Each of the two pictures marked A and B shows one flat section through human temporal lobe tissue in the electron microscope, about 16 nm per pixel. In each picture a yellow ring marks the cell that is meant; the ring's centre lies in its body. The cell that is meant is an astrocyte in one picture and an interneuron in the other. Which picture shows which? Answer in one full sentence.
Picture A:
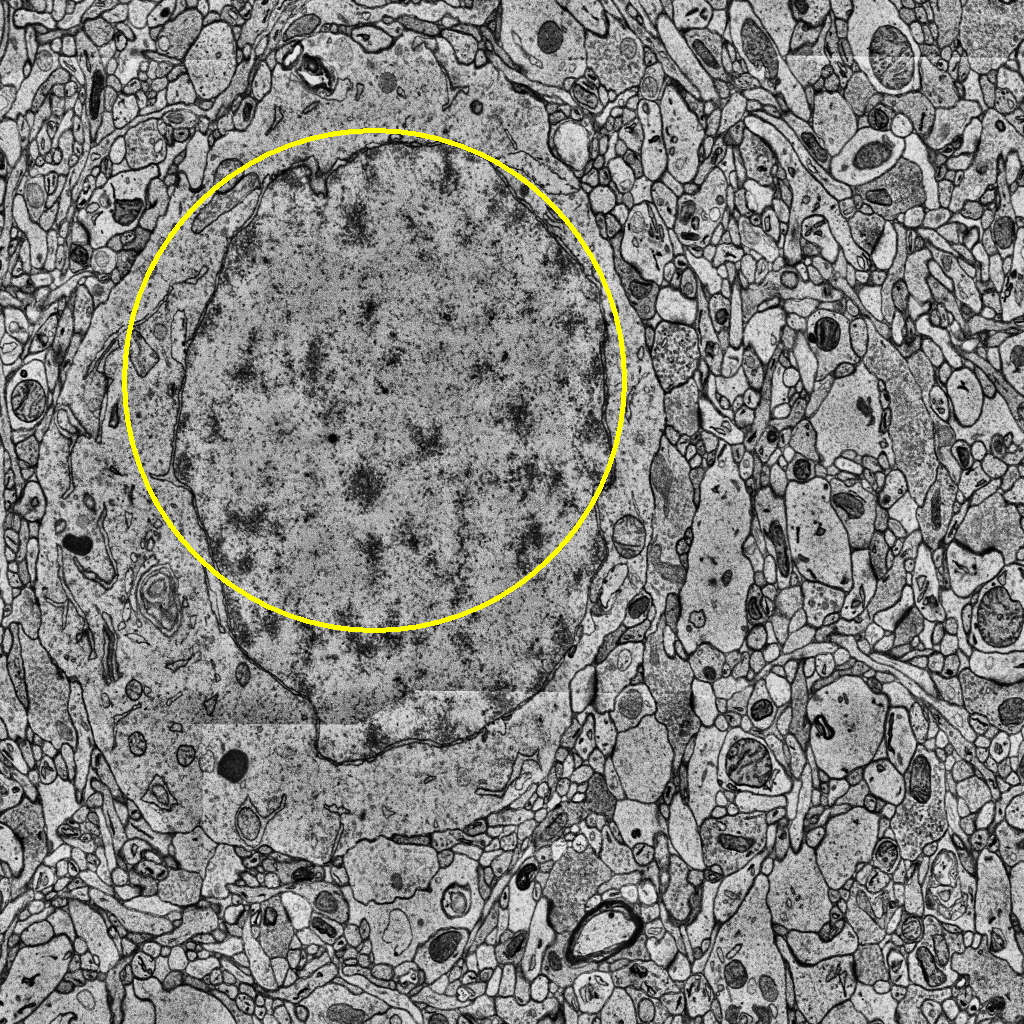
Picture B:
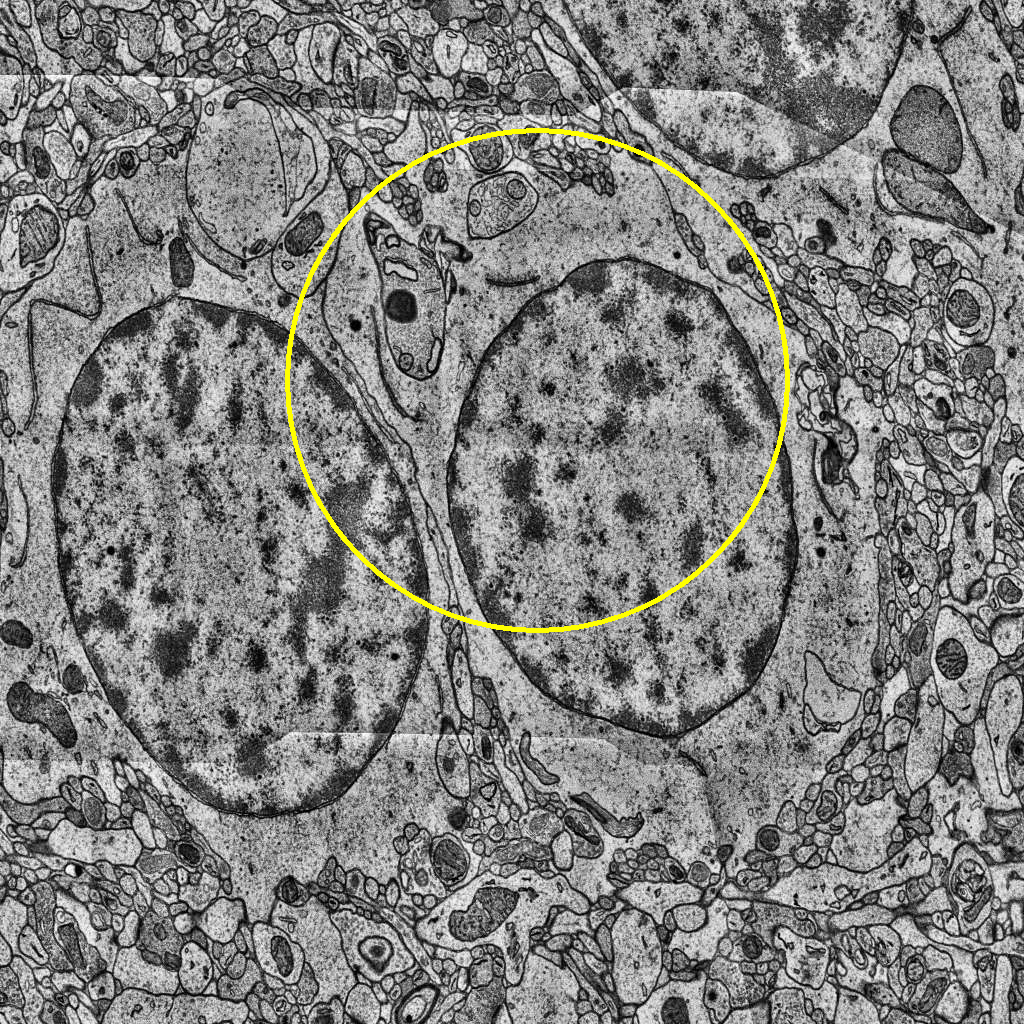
In picture A the cell is an interneuron; in picture B, an astrocyte.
